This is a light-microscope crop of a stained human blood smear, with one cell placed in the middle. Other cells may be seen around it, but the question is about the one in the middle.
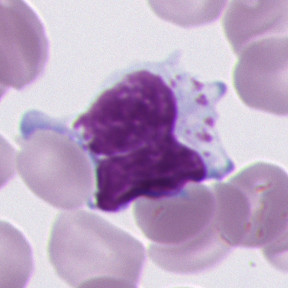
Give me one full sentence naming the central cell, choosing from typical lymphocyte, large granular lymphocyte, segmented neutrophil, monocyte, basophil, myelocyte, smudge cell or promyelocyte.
As for the central cell, it is a large granular lymphocyte.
